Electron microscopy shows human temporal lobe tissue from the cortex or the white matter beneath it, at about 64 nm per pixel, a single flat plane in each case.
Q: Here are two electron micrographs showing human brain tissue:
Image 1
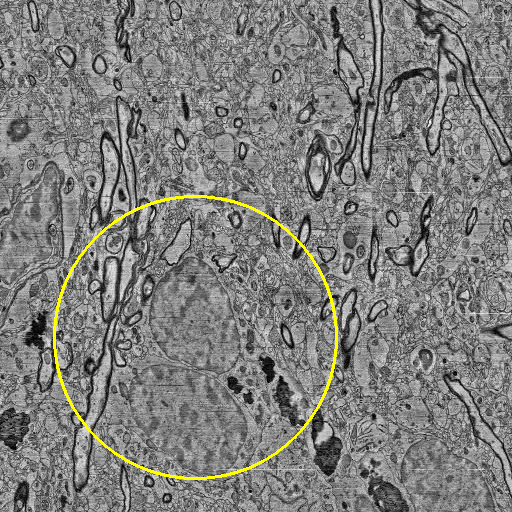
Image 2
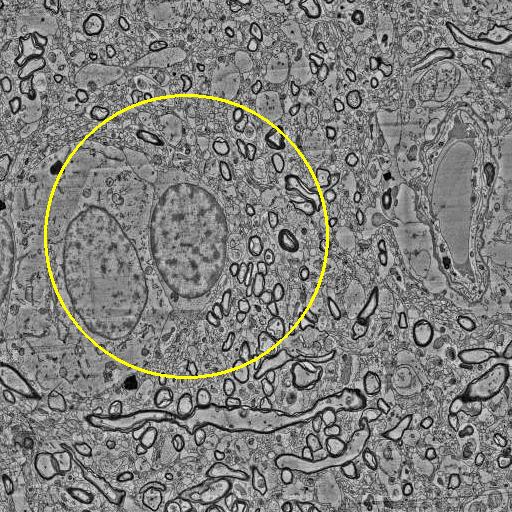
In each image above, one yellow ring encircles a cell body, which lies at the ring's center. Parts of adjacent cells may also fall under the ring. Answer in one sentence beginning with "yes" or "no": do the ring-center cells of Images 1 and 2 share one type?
Yes, in Images 1 and 2, the ring-center cells are both of one type.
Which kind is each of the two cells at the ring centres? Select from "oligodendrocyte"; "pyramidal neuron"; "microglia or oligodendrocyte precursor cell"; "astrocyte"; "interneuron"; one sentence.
Each cell at the centre of a ring is an oligodendrocyte.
